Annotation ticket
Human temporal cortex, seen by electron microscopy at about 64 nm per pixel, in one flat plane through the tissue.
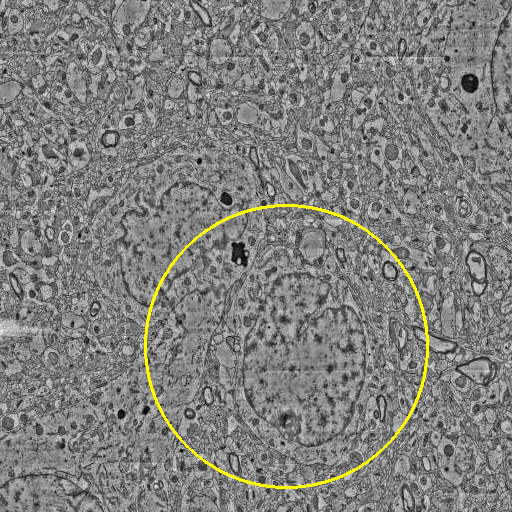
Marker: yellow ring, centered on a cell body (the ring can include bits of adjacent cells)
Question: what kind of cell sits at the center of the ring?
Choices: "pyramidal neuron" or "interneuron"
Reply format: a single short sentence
The ring is centered on an interneuron.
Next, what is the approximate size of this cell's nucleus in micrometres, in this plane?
About 11 by 8 micrometres in this plane.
